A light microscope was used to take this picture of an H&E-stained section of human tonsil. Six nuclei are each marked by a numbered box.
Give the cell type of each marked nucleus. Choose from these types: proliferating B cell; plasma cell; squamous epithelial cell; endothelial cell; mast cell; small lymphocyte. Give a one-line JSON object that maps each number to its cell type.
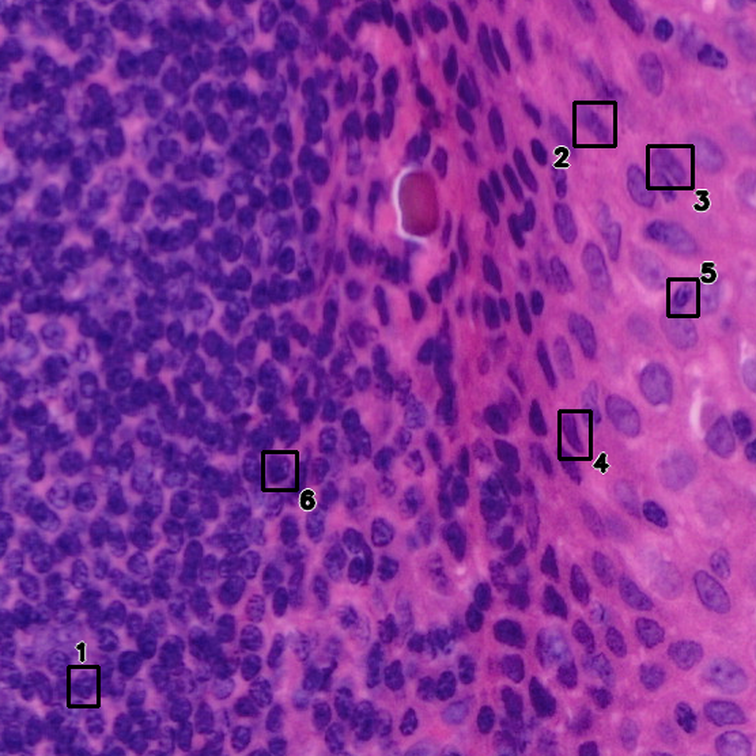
{"1": "small lymphocyte", "2": "squamous epithelial cell", "3": "squamous epithelial cell", "4": "squamous epithelial cell", "5": "squamous epithelial cell", "6": "small lymphocyte"}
